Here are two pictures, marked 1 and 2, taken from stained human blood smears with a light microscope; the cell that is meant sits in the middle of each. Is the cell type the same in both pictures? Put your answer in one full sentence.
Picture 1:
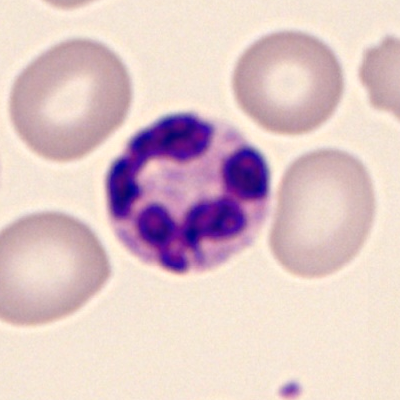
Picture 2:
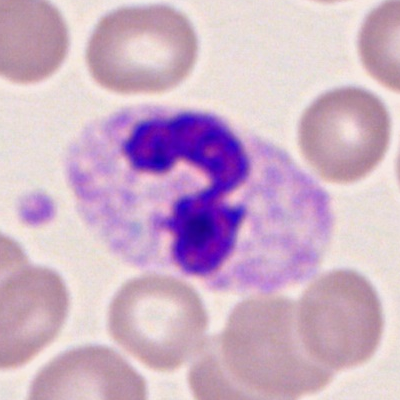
Yes; the cells in both pictures are segmented neutrophils.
